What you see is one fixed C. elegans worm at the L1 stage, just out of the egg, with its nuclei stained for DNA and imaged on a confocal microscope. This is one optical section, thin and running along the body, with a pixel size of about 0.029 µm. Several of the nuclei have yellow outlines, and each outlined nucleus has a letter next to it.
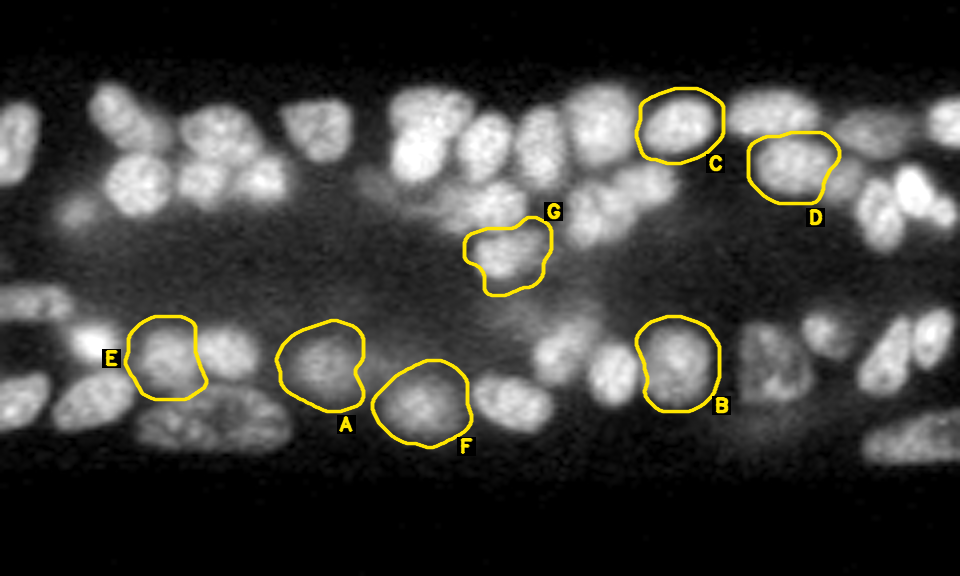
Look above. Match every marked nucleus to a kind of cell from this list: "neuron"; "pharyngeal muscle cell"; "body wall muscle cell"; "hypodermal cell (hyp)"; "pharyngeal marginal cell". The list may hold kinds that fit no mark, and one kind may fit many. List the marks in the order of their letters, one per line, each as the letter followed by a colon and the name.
A: neuron
B: pharyngeal muscle cell
C: neuron
D: pharyngeal marginal cell
E: neuron
F: body wall muscle cell
G: pharyngeal marginal cell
